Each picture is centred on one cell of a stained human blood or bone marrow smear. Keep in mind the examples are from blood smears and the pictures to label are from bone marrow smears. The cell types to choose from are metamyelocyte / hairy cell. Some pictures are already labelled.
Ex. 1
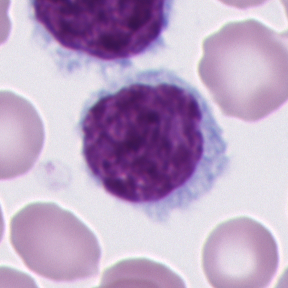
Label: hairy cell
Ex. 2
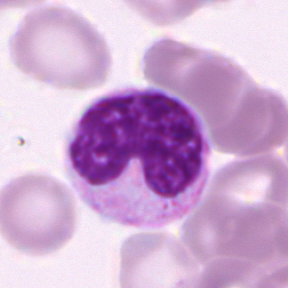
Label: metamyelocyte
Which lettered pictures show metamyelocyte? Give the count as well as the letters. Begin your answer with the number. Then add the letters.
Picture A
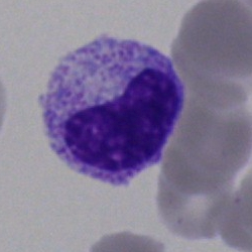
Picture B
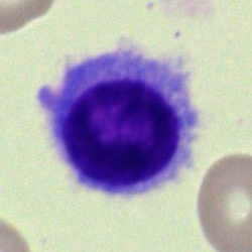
Count: 1 (A)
